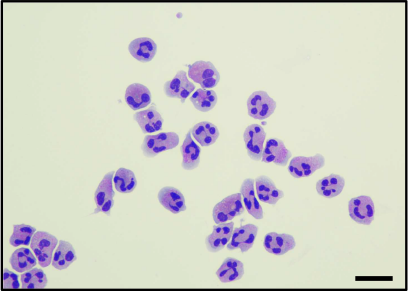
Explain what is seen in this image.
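Scattered small round cells lie singly and in small clusters, each with a dark purple nucleus broken into several lobes joined by thin strands. The cytoplasm is pale lilac-pink and without coarse granules. These are mature neutrophils with their typical segmented nuclei.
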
